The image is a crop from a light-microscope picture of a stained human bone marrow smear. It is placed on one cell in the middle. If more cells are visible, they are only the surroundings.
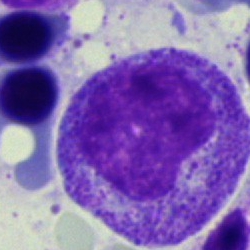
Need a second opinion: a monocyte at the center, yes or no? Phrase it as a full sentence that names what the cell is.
No, sorry, the middle cell is a myelocyte rather than a monocyte.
